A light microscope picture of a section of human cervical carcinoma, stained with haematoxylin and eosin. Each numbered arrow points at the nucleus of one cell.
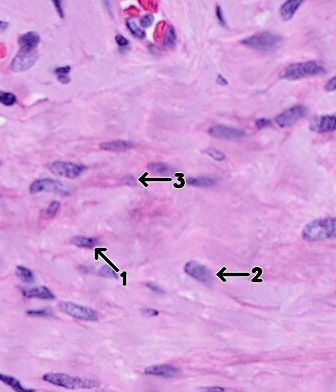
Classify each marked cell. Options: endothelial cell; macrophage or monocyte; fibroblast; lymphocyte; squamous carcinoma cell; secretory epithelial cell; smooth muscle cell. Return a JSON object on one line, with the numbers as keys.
{"1": "smooth muscle cell", "2": "fibroblast", "3": "smooth muscle cell"}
